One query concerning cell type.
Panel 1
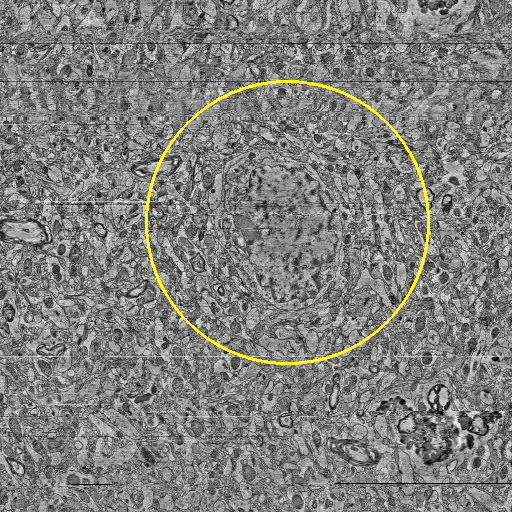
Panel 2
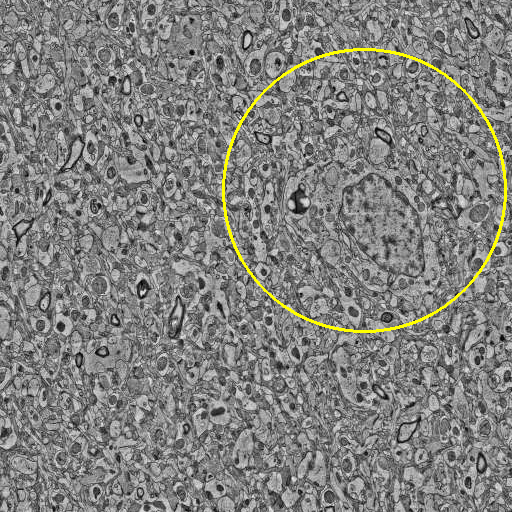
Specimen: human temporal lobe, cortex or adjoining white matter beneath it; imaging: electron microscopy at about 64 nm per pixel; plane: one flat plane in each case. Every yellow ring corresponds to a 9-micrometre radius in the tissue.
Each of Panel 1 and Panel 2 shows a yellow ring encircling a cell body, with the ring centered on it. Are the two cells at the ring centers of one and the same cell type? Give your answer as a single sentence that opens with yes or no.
Yes, the cell centered in Panel 1 and the one in Panel 2 share a type.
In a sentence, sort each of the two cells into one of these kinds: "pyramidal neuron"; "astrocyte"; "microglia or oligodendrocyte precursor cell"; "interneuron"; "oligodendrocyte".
The cell in the first picture is an interneuron, and so is the one in the second.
